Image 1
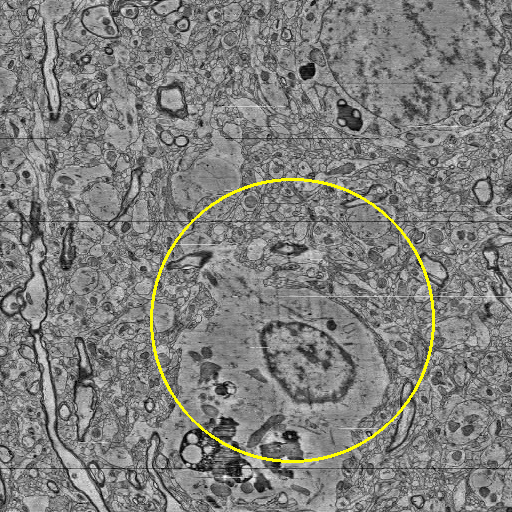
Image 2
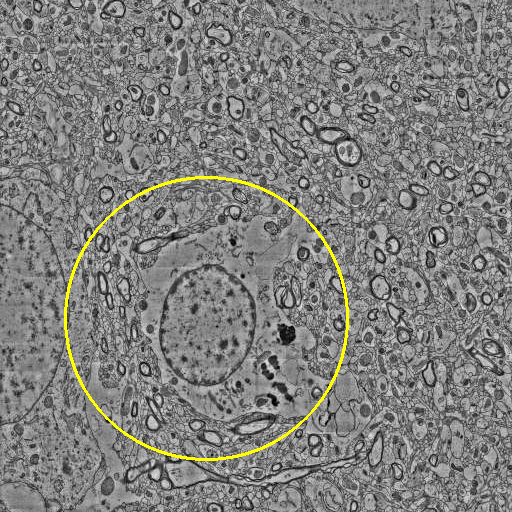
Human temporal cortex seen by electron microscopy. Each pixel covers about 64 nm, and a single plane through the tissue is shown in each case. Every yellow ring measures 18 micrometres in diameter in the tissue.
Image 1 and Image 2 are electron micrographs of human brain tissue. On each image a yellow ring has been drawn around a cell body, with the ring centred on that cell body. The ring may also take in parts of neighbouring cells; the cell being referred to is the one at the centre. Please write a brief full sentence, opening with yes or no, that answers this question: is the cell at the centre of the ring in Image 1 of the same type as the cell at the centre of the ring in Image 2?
Yes, both cells are of the same type.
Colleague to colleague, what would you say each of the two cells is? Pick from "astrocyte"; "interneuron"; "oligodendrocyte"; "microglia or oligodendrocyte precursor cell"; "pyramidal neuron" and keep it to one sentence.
Both pictures show an astrocyte at the centre of the ring.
